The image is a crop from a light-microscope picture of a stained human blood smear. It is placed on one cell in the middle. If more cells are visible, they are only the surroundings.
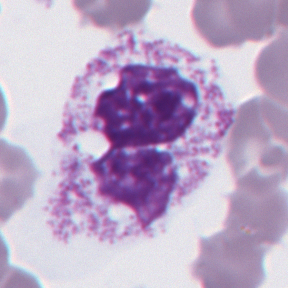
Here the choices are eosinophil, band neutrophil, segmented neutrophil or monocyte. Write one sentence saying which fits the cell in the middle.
Of the cells in this crop, the central one is a segmented neutrophil.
